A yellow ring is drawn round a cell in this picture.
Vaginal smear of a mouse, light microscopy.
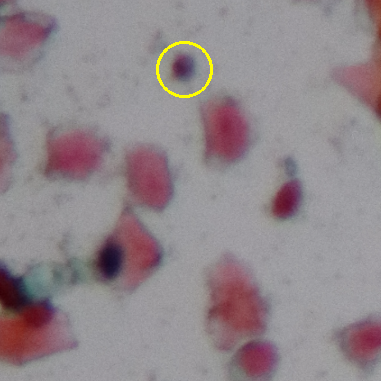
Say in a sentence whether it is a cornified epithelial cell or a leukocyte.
The cell in the ring is a leukocyte.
